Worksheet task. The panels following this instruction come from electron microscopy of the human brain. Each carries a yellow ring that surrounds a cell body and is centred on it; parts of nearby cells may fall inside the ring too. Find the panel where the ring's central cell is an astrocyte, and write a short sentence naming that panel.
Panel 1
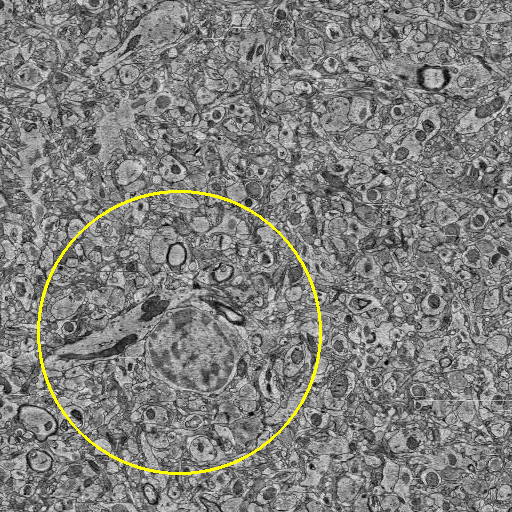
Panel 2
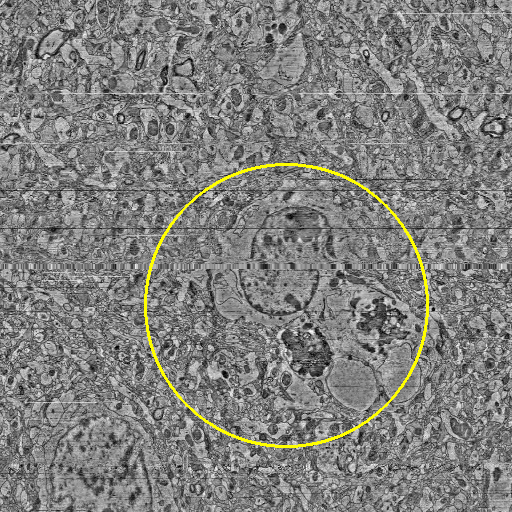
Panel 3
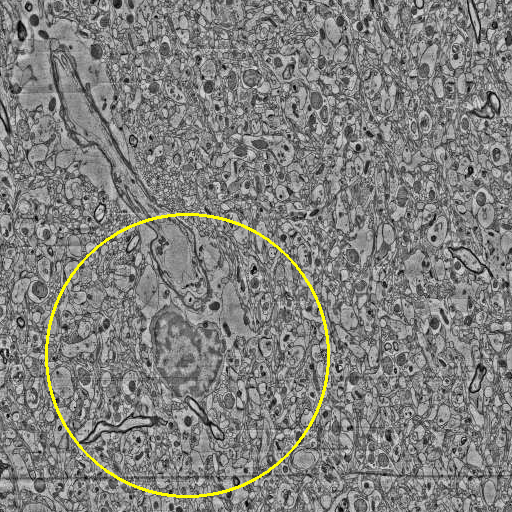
The cell sought is in Panel 2.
